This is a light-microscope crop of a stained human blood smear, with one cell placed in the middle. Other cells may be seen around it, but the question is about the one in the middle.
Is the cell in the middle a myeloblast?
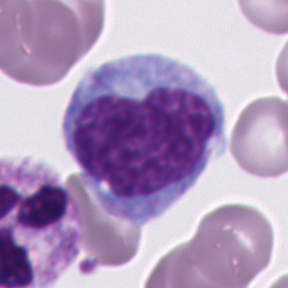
no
